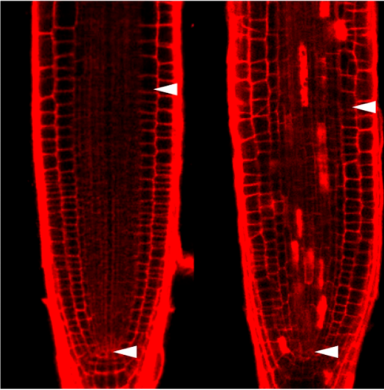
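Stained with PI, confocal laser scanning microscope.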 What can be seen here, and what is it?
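Two root tips with red-outlined cell walls show orderly files of short, boxlike cells extending a long way up from the tip before the cells lengthen. In the right root the region of short cells remains long, while scattered cells in the central files are filled with bright red patches.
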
